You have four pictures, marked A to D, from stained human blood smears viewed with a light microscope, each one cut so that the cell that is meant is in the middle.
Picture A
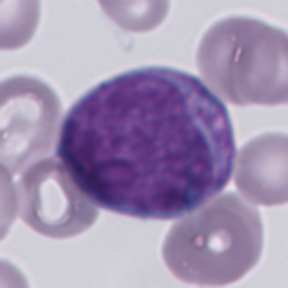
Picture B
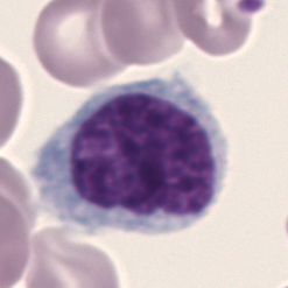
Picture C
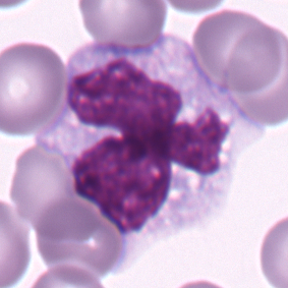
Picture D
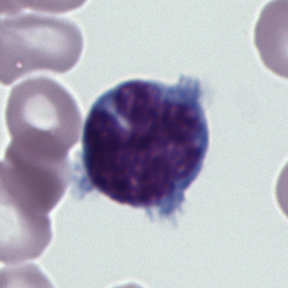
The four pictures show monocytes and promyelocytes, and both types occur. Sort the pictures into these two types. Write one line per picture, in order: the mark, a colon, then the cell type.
A: promyelocyte
B: monocyte
C: monocyte
D: monocyte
